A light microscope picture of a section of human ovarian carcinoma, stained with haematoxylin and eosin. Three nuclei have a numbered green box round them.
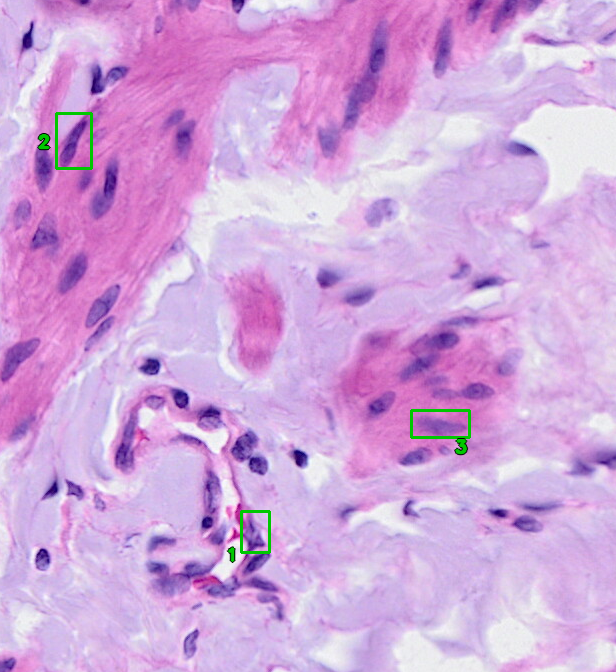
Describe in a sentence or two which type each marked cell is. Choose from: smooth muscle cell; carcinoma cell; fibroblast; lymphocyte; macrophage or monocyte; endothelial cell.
Cell 1 is an endothelial cell, cell 2 is a smooth muscle cell and cell 3 is a smooth muscle cell.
